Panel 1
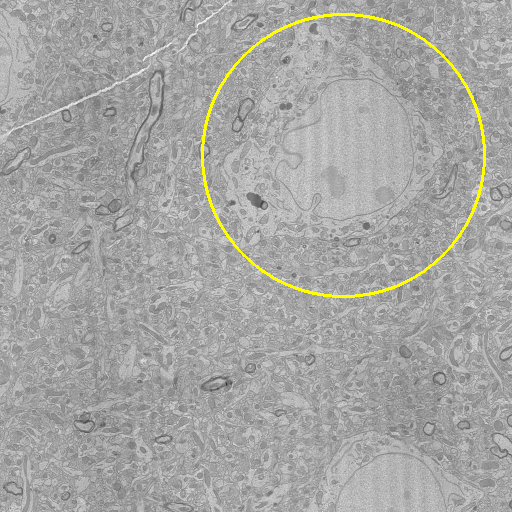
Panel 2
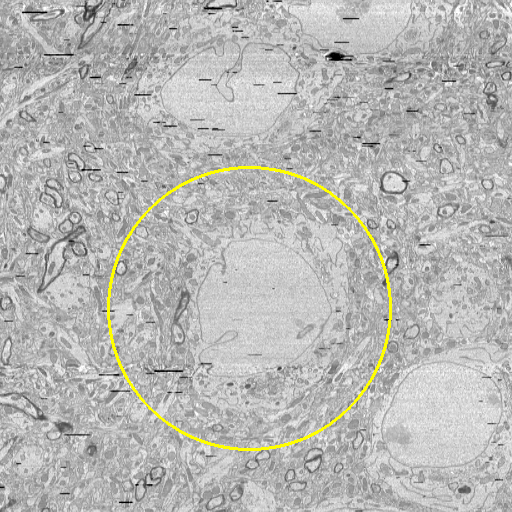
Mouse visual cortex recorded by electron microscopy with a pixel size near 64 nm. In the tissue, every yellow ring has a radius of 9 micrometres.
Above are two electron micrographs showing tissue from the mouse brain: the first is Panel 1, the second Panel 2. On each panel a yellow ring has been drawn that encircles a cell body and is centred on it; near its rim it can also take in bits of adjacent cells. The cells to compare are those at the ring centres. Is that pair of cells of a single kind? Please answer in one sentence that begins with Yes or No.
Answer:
Yes, the ring-centred cells of Panel 1 and Panel 2 belong to one kind.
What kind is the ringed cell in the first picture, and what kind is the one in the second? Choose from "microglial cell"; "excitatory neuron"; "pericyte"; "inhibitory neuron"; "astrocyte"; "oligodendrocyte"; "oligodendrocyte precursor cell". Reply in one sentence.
Each one of the two ringed cells is an excitatory neuron.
